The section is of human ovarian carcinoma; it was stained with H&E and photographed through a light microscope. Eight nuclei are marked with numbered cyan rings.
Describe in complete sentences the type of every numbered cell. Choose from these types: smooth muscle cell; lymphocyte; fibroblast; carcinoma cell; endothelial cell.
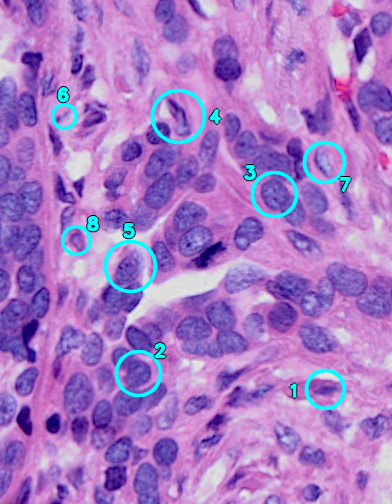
Cells 1, 4, 6, 7 and 8 are fibroblasts. Cells 2, 3 and 5 are carcinoma cells.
